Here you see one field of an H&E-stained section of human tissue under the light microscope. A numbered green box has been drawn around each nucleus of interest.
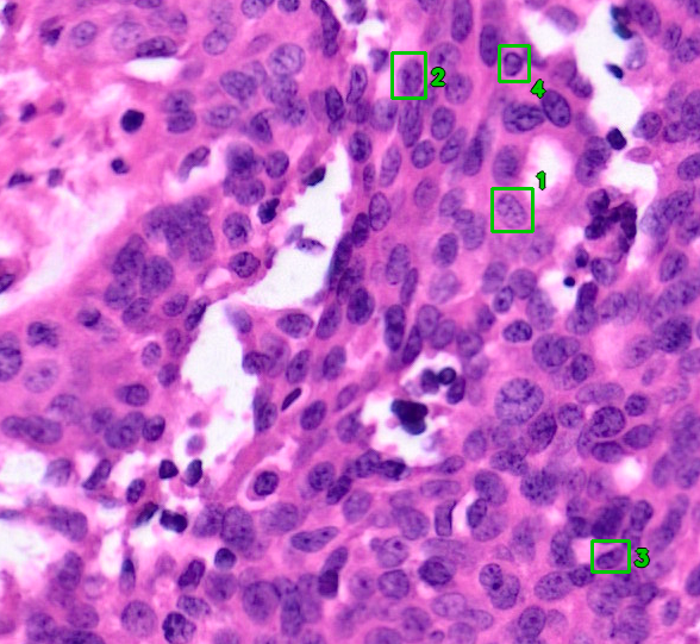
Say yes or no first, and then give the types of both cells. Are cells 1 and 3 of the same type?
Yes, both cell 1 and cell 3 count among the carcinoma cells.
